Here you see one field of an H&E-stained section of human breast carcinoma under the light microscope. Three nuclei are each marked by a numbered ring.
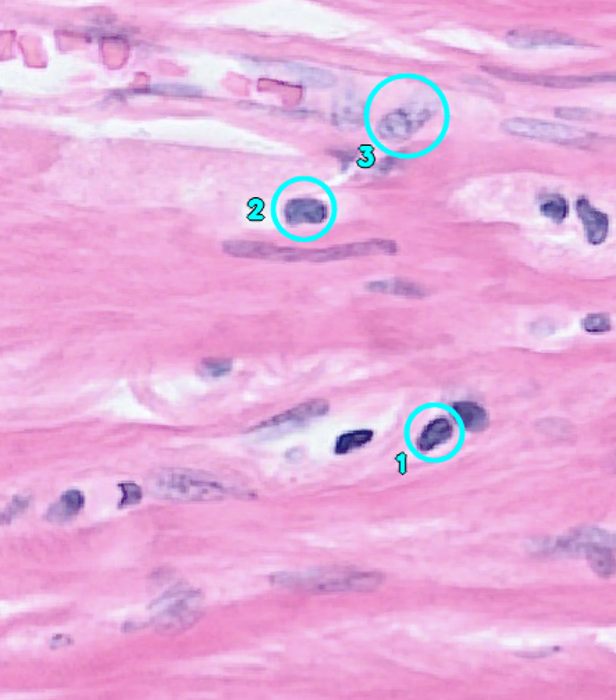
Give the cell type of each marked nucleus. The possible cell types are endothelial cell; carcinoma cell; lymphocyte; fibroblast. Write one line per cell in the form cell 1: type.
cell 1: lymphocyte
cell 2: lymphocyte
cell 3: endothelial cell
